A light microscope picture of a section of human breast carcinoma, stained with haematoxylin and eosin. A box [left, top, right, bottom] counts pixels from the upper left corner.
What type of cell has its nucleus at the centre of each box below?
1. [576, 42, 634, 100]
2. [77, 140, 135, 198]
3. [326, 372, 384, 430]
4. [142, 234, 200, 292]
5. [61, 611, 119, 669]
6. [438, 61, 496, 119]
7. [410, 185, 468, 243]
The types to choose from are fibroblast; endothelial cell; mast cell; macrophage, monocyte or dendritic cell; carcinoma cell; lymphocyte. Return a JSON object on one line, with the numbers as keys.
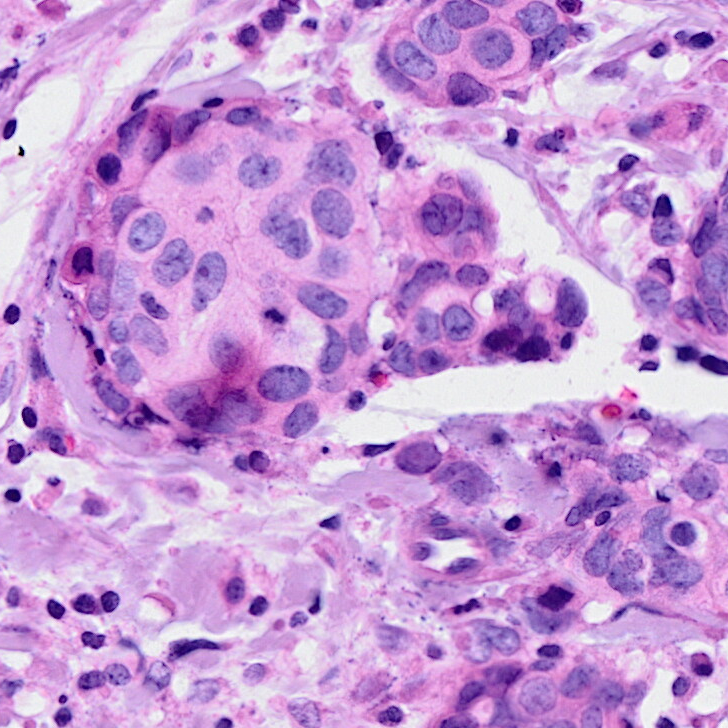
{"1": "fibroblast", "2": "carcinoma cell", "3": "lymphocyte", "4": "carcinoma cell", "5": "lymphocyte", "6": "carcinoma cell", "7": "carcinoma cell"}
